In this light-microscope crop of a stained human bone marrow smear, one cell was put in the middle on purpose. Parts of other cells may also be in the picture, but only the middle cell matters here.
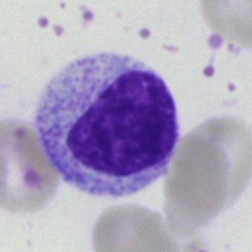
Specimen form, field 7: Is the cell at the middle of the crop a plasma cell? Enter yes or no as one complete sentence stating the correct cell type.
No, the centre of the crop is taken up by a myelocyte, not a plasma cell.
